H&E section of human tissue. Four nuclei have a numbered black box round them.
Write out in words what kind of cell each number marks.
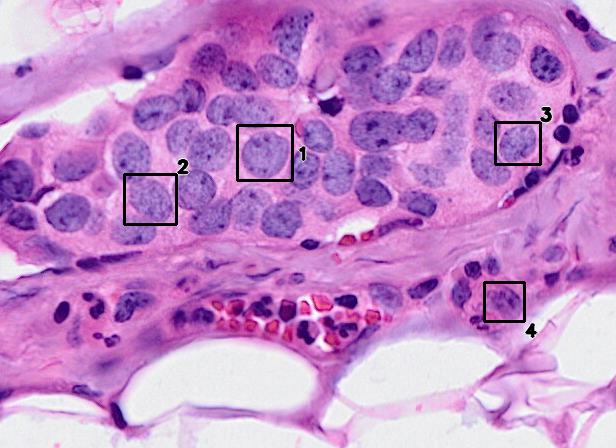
Cells 1, 2 and 3 are carcinoma cells. Cell 4 is an endothelial cell.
